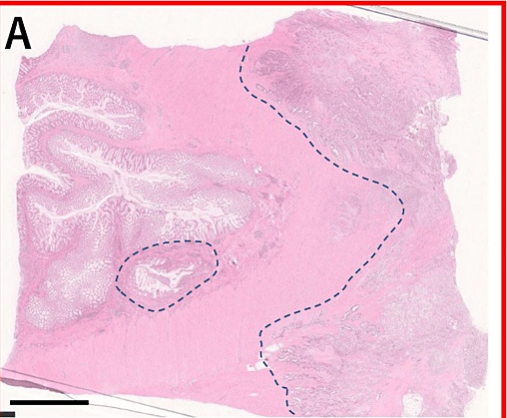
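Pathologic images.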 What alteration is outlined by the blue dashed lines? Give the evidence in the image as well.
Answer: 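The outlined region on the right has crowded, irregular glandular tissue unlike the orderly folded mucosa on the left.
Conclusion: tumor area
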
